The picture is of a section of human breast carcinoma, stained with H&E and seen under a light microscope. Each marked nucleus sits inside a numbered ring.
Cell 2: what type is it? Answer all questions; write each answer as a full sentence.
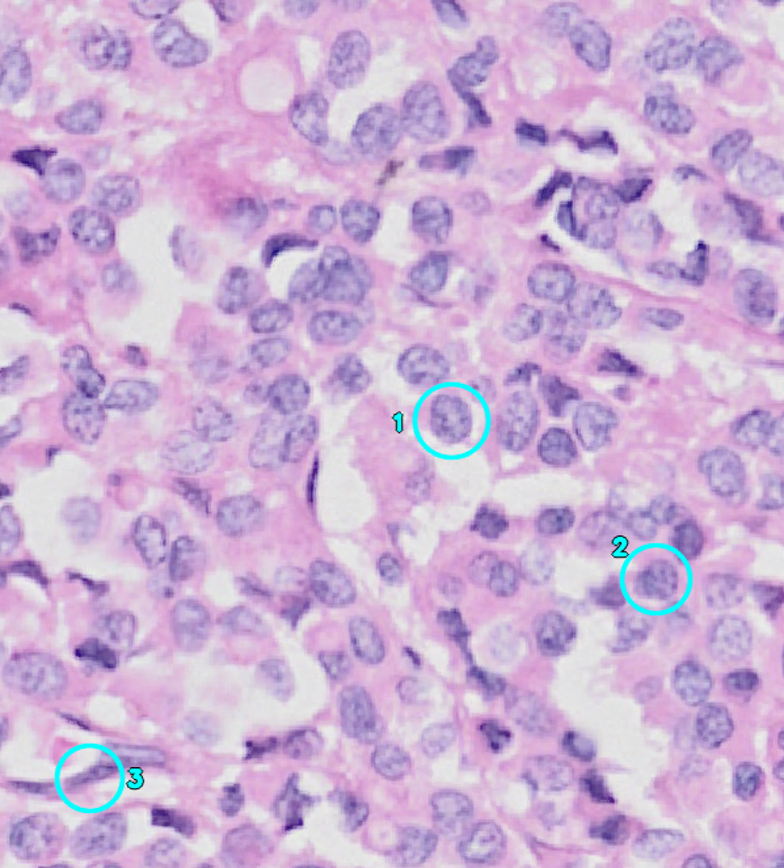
In this section, the cell tagged 2 is a carcinoma cell.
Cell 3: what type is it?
Cell 3, as marked in the section, is an endothelial cell.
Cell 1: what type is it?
The cell numbered 1 represents a carcinoma cell.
